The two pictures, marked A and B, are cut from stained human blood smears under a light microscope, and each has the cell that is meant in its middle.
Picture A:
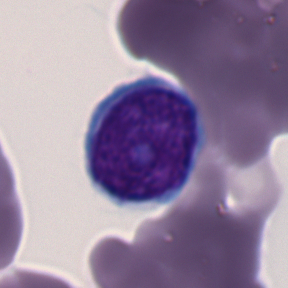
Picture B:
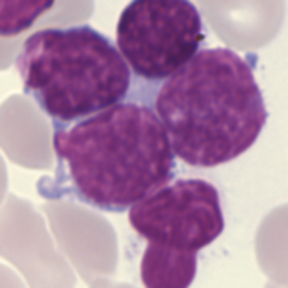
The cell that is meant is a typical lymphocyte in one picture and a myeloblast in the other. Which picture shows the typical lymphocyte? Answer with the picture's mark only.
A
